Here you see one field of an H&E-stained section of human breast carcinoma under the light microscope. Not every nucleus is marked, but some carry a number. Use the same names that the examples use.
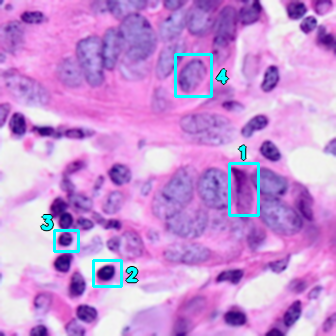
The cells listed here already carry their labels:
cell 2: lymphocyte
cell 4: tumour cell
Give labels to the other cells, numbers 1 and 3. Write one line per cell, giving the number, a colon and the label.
1: tumour cell
3: lymphocyte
